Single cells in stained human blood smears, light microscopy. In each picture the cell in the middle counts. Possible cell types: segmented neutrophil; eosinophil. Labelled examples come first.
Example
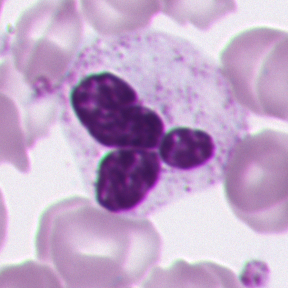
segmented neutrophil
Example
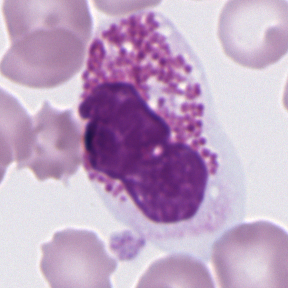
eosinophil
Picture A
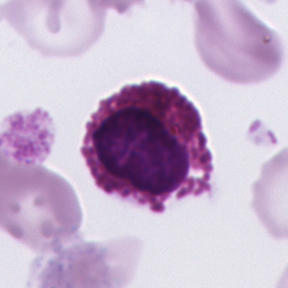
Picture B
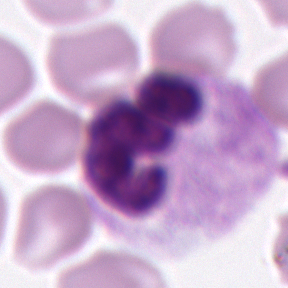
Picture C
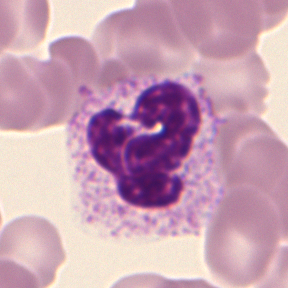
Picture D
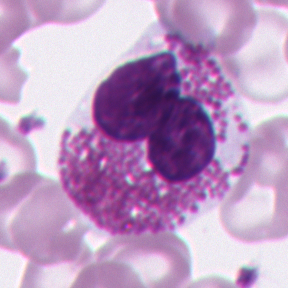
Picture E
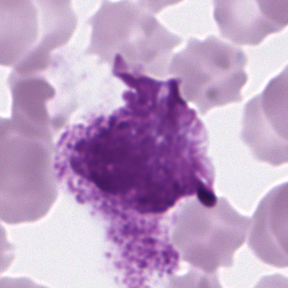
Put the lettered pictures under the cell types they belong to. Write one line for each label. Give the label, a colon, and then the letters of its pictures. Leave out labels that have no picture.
segmented neutrophil: B, C
eosinophil: A, D, E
